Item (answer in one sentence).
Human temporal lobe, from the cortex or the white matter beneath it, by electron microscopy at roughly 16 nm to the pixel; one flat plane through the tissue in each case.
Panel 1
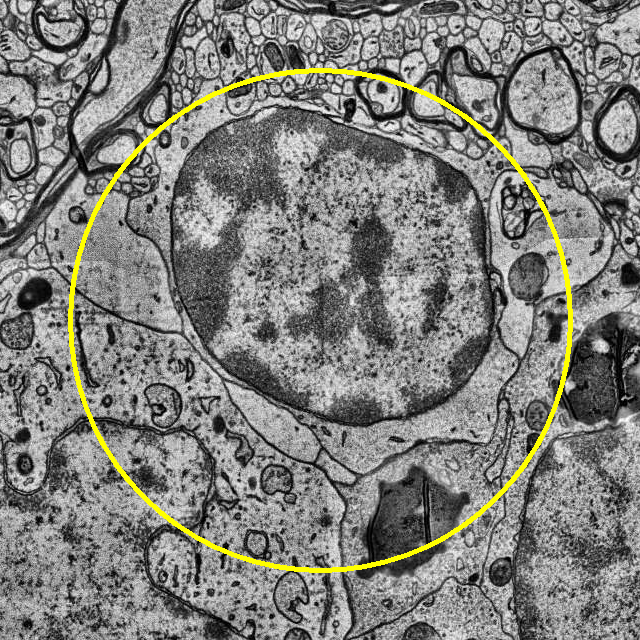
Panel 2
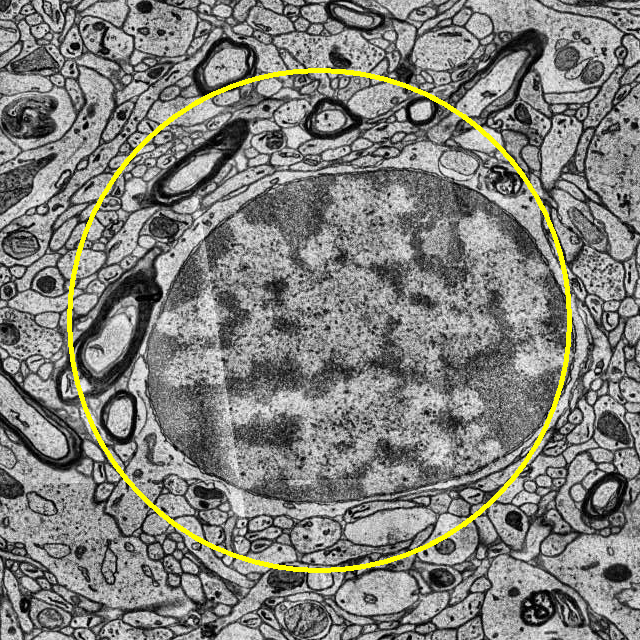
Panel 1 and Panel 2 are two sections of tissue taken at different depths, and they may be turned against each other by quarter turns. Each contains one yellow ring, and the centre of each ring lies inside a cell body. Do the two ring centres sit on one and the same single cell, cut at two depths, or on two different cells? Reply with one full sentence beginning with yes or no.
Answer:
No, one ring and the other ring mark two distinct cells.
